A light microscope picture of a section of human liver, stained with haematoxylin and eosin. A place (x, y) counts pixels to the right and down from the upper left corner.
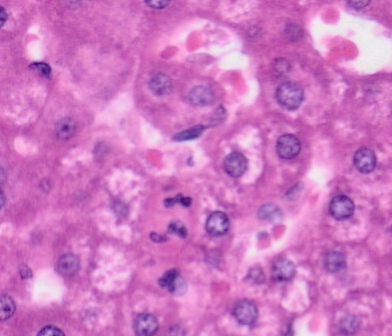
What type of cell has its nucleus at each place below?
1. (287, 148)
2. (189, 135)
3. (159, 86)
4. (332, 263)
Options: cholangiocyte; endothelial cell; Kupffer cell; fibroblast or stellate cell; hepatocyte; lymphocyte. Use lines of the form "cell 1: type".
cell 1: hepatocyte
cell 2: fibroblast or stellate cell
cell 3: hepatocyte
cell 4: hepatocyte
